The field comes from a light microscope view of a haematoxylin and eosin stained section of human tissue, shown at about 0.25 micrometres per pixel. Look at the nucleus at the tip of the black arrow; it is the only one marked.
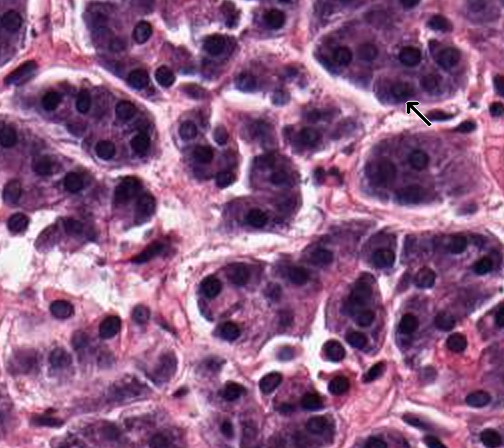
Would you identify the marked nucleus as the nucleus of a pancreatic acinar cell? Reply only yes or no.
yes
